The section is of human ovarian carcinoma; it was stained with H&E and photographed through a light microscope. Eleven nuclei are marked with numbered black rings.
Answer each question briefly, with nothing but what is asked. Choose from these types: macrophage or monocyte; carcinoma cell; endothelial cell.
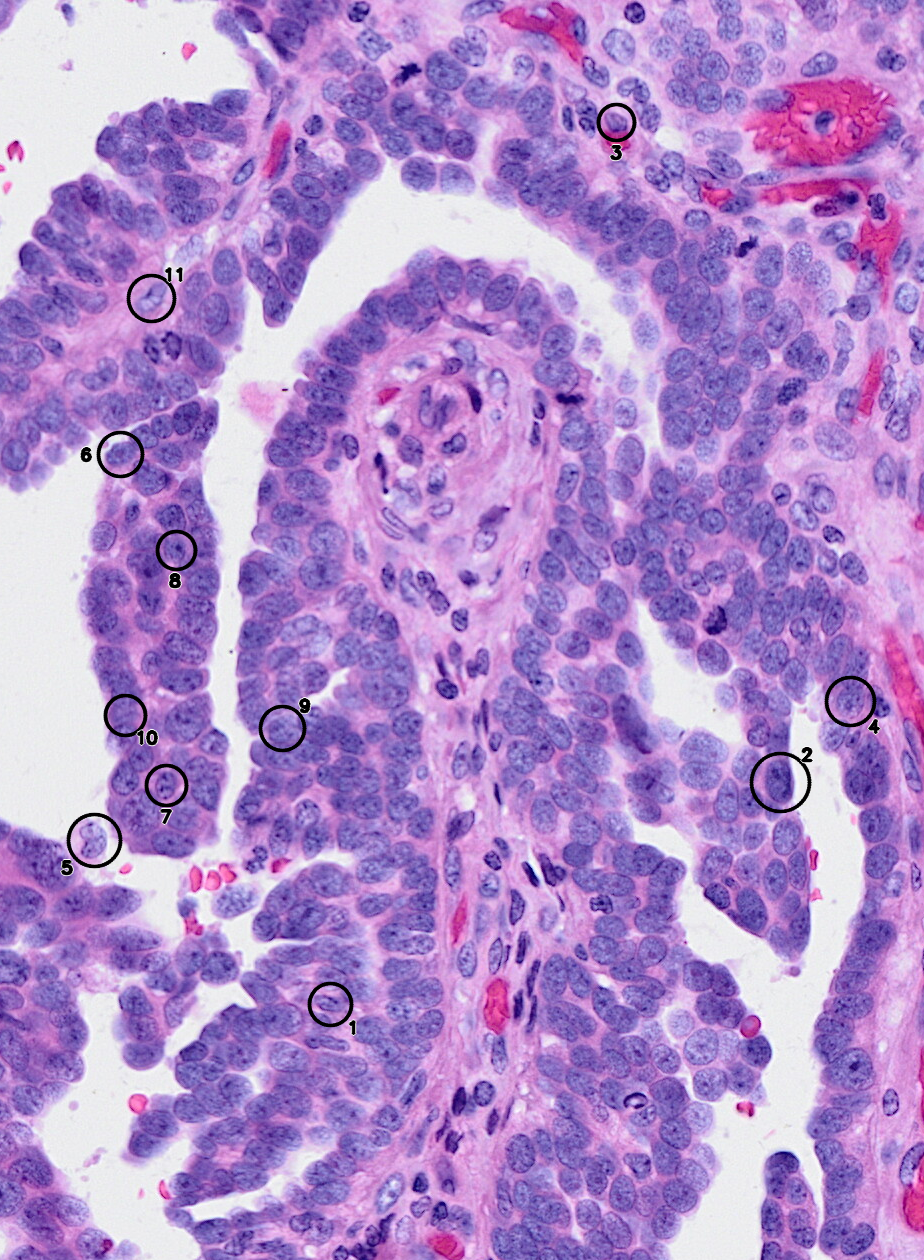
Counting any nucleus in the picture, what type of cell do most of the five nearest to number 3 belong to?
macrophage or monocyte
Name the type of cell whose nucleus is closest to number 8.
carcinoma cell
